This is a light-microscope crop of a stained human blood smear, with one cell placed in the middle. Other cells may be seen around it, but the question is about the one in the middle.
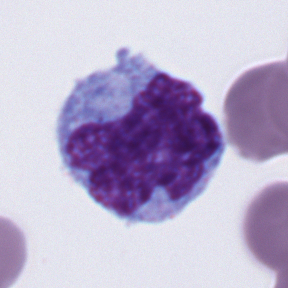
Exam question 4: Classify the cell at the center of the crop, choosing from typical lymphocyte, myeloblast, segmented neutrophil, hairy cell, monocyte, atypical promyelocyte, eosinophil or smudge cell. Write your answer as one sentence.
This crop's central cell is a monocyte.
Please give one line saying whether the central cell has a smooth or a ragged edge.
The contour of the cell is interrupted by ragged areas or by projections.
